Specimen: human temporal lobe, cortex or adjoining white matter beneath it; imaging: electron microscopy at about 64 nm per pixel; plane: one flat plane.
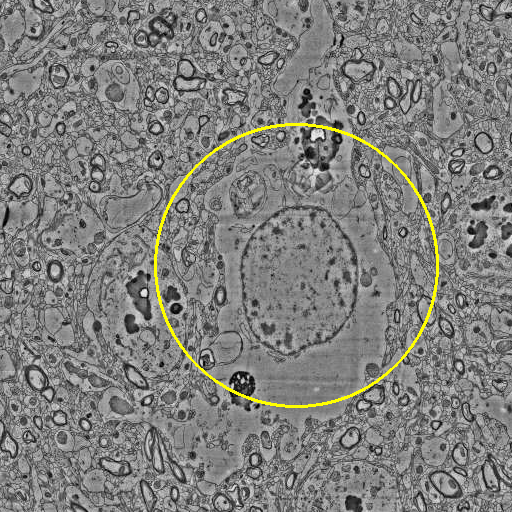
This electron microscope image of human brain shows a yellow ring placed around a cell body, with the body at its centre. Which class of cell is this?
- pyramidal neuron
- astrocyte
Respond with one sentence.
The cell body at the ring's centre is an astrocyte.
